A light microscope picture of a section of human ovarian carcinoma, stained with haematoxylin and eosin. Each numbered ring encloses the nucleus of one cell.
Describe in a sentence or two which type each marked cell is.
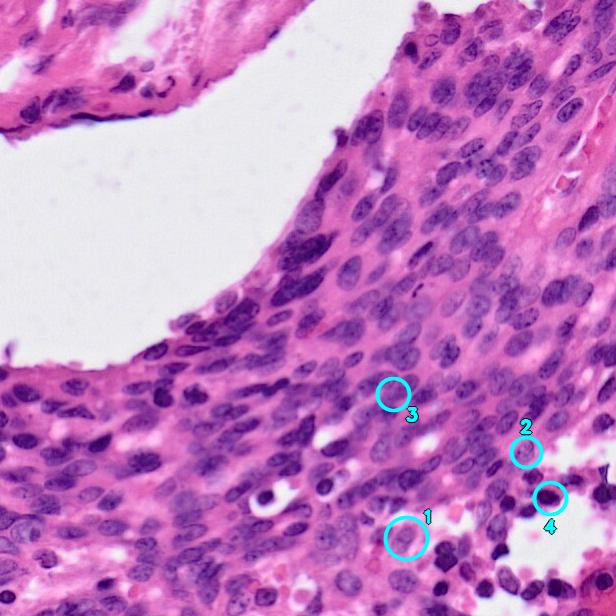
Cell 1 is a carcinoma cell, cell 2 is a macrophage or monocyte, cell 3 is a carcinoma cell and cell 4 is a carcinoma cell.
